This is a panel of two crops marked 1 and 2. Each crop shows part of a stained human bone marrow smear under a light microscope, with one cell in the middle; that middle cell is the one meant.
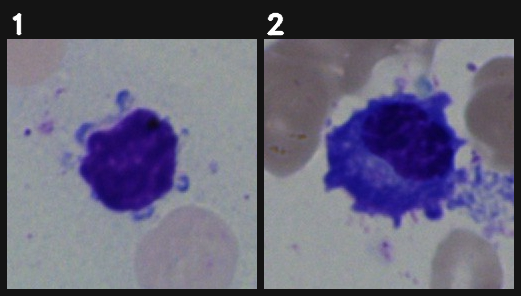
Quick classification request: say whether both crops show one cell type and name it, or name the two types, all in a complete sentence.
No, crop 1 should be called a lymphocyte, and crop 2 should be called a plasma cell.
